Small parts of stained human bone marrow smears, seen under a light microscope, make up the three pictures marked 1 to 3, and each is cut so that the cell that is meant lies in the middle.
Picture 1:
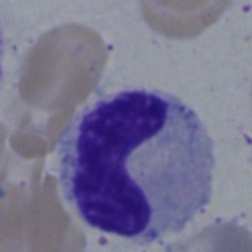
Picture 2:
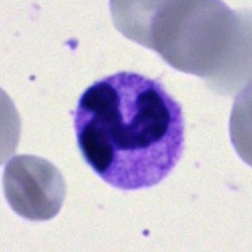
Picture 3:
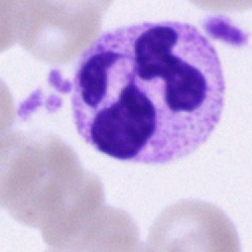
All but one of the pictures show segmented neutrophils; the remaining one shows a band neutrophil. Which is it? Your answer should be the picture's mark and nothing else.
1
